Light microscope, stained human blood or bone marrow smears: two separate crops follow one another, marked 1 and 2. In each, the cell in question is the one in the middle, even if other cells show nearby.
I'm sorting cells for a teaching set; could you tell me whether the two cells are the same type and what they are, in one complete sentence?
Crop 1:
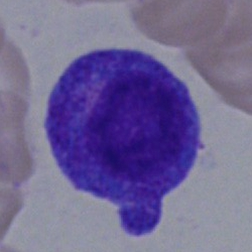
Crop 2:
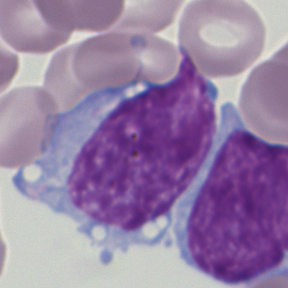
No, the cell centred in crop 1 is a promyelocyte, and that centred in crop 2 is a blast.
